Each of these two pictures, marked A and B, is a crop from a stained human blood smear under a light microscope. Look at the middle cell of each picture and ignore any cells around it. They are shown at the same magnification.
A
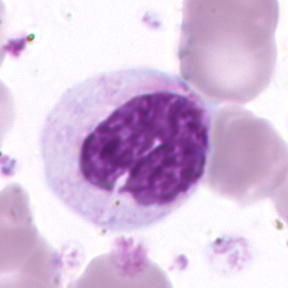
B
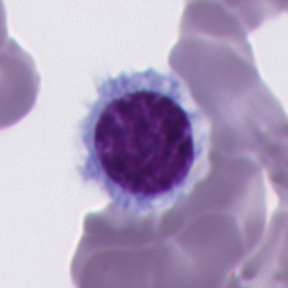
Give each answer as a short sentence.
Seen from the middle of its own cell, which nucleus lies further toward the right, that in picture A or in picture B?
The nucleus in picture A lies further toward the right of its cell.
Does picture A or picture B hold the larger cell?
The cell in picture A is larger, with about 1.5 times the area of the one in picture B.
